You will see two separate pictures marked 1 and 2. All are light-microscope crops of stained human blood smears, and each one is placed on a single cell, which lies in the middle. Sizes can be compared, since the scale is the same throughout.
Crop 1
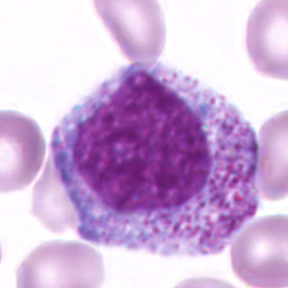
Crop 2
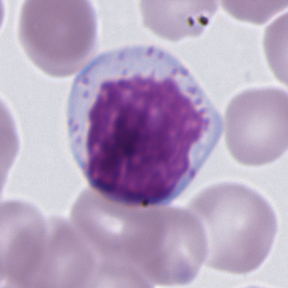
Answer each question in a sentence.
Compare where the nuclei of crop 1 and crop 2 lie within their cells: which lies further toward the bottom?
In crop 2 the nucleus is shifted more toward the bottom.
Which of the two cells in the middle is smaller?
Crop 2 holds the smaller cell, since the cell in crop 1 covers about 1.5 times as much area.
